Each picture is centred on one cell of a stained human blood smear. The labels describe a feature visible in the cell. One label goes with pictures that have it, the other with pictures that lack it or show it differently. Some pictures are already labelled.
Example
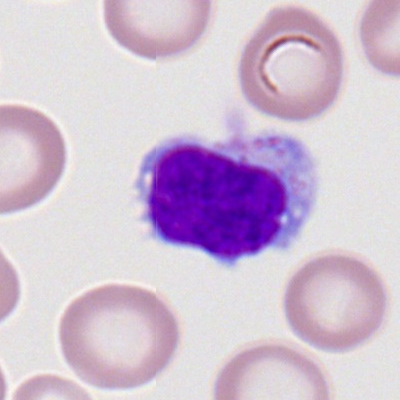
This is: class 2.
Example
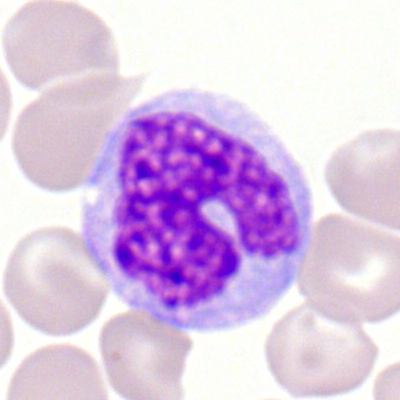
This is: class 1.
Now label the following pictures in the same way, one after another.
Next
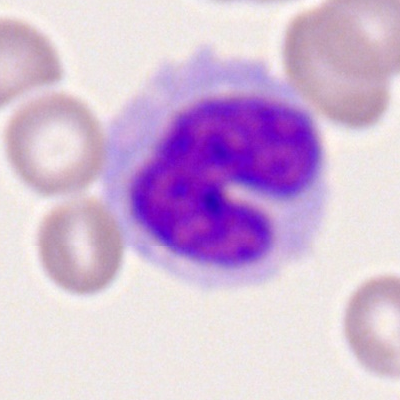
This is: class 2.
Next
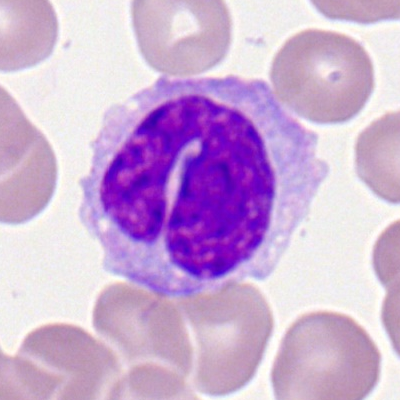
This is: class 2.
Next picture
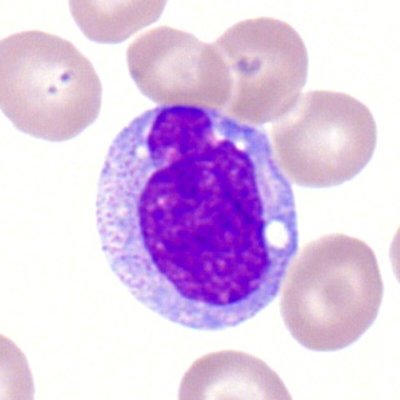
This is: class 1.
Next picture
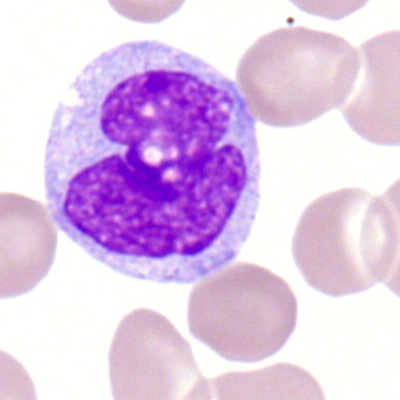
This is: class 1.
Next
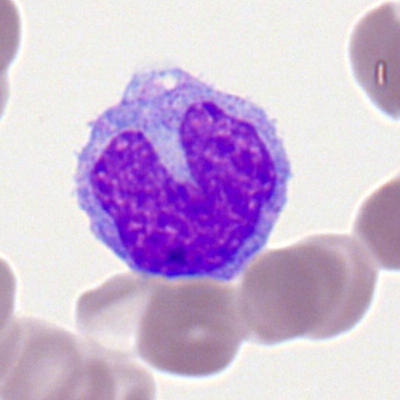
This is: class 2.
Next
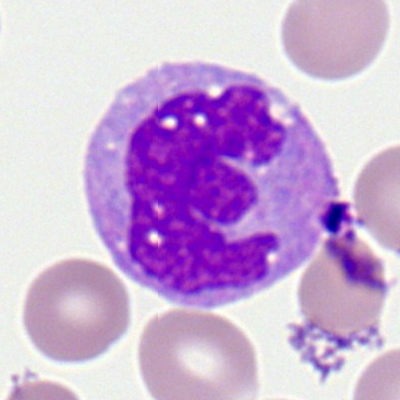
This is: class 1.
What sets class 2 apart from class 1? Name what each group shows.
class 2, ragged outline or projections; class 1, smooth outline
